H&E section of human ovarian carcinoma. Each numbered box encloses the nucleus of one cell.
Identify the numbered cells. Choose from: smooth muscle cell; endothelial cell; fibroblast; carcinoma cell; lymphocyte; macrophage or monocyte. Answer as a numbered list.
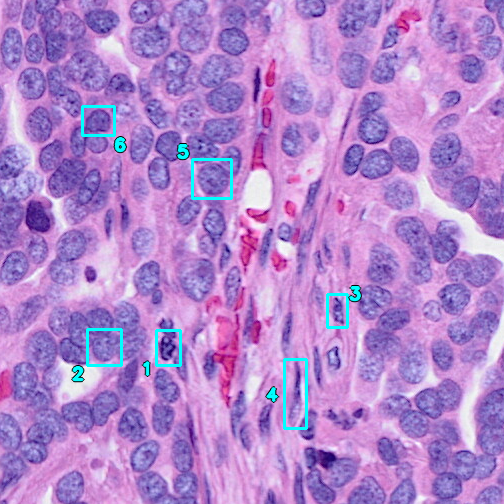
1. lymphocyte
2. carcinoma cell
3. fibroblast
4. fibroblast
5. carcinoma cell
6. carcinoma cell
